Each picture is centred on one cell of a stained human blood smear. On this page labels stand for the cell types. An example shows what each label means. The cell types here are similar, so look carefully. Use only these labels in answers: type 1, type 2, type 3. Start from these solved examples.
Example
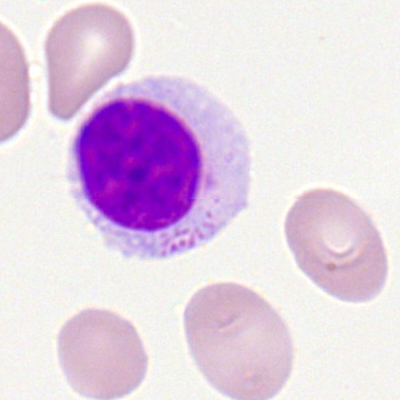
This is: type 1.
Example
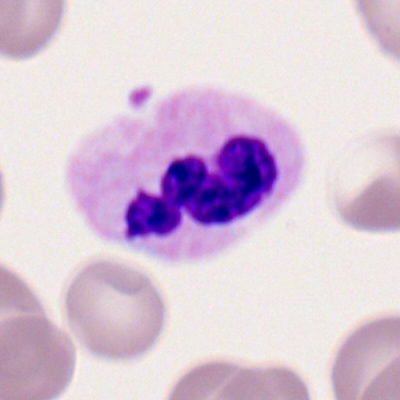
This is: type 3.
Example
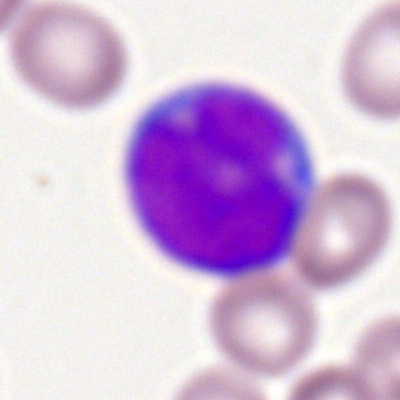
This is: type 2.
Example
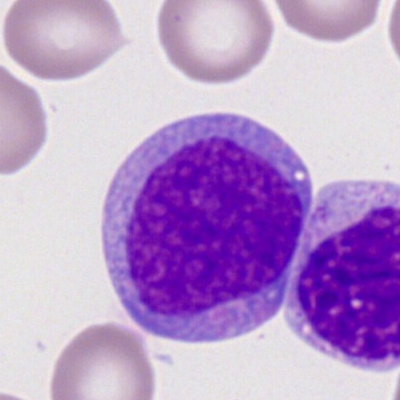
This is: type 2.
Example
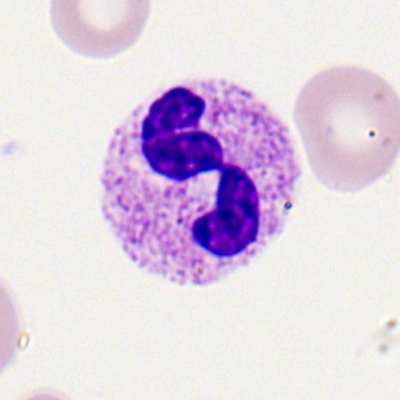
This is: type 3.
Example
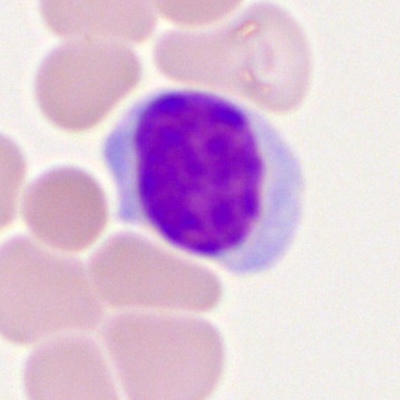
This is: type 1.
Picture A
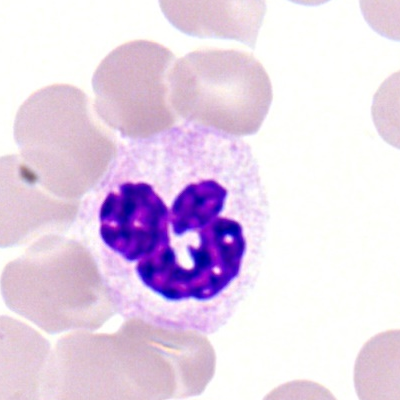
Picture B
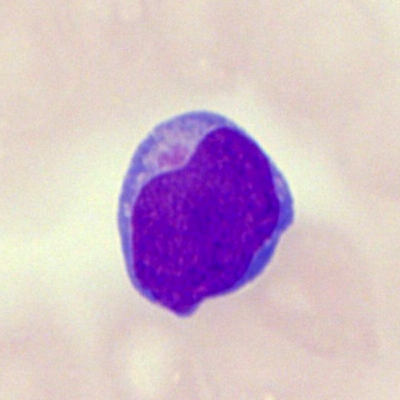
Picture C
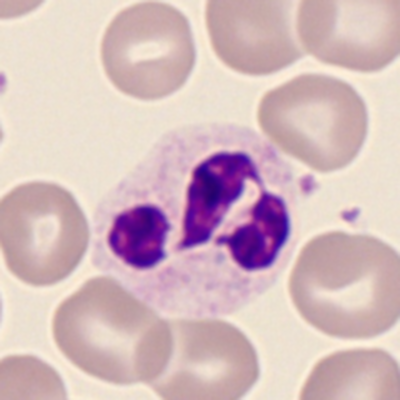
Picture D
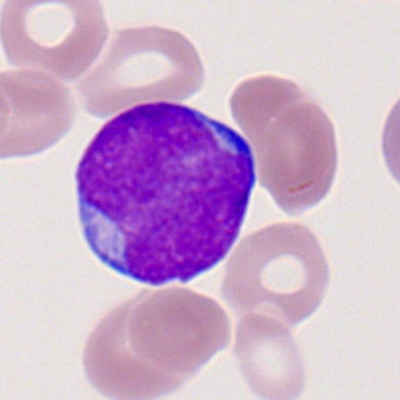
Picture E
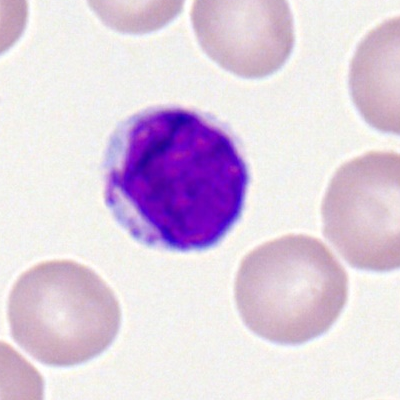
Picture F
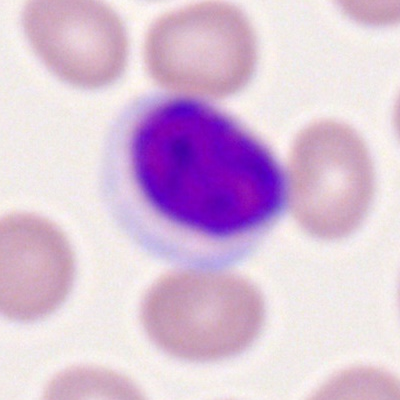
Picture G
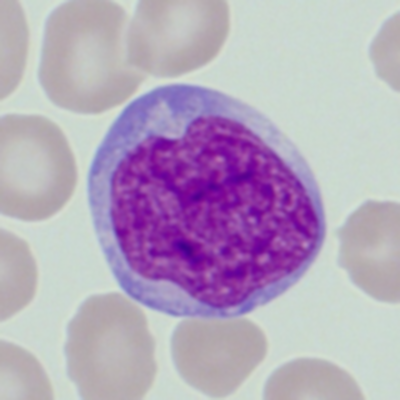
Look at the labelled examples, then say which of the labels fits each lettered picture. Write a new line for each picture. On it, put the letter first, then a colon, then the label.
A: type 3.
B: type 2.
C: type 3.
D: type 2.
E: type 1.
F: type 1.
G: type 2.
